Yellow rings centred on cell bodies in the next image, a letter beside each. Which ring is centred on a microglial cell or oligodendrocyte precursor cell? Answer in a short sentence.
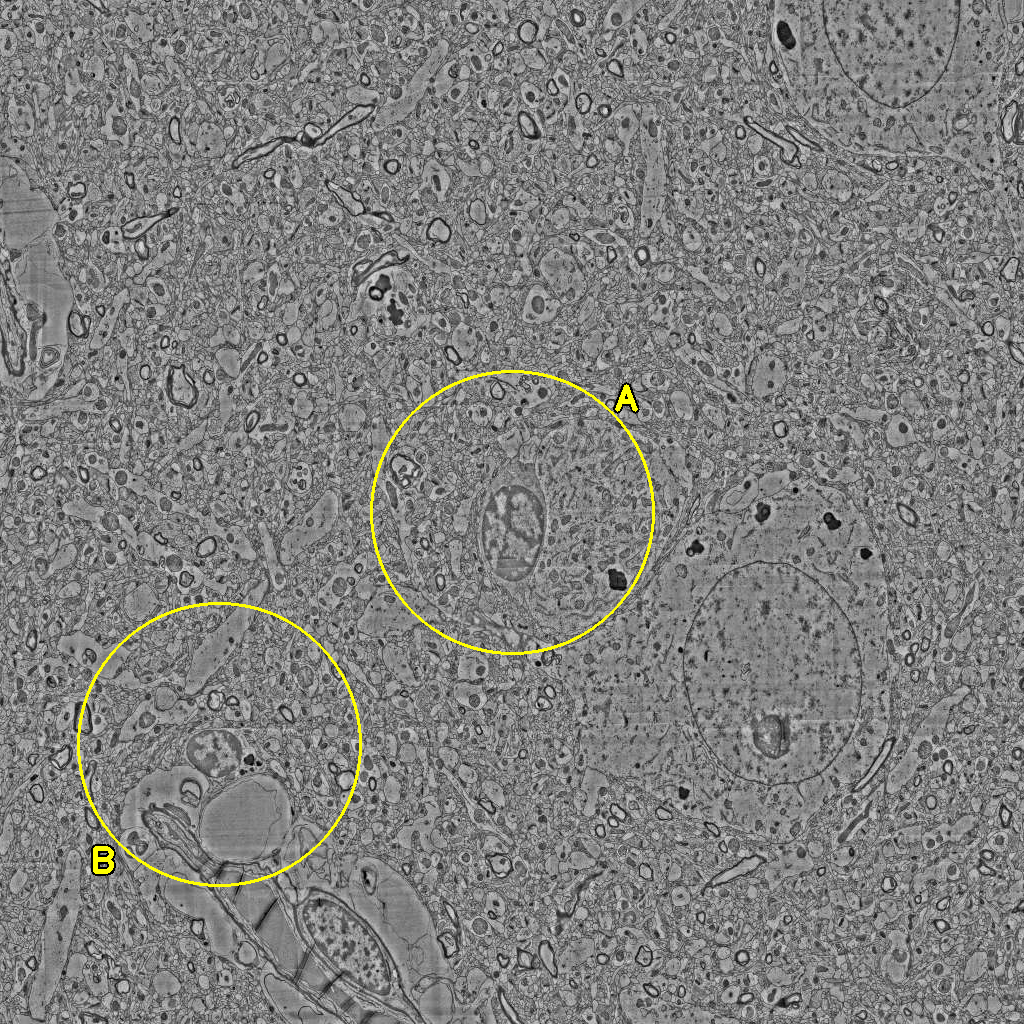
Ring B is centred on it.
